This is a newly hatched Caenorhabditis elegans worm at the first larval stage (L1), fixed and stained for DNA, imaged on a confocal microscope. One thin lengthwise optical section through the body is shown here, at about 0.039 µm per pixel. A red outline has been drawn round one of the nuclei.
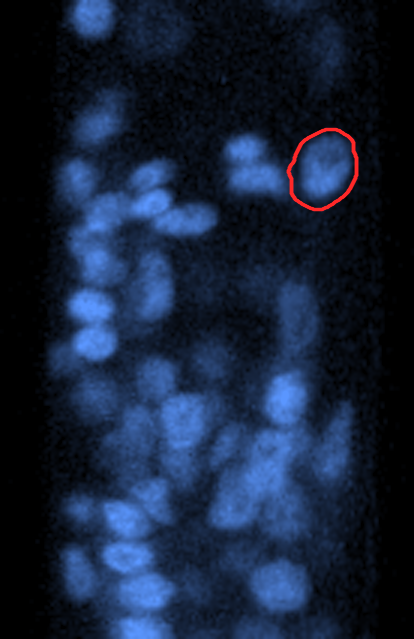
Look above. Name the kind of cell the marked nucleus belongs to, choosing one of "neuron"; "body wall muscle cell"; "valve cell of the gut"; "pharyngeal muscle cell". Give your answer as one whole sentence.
What is marked is the nucleus of a body wall muscle cell.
